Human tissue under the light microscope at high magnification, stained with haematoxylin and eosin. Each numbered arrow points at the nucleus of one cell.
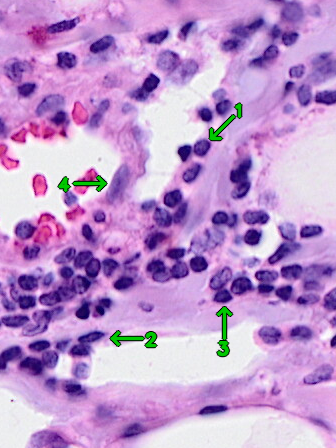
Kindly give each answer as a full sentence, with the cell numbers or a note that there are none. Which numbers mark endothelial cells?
Cell 4 alone, of all the numbered cells, is an endothelial cell.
